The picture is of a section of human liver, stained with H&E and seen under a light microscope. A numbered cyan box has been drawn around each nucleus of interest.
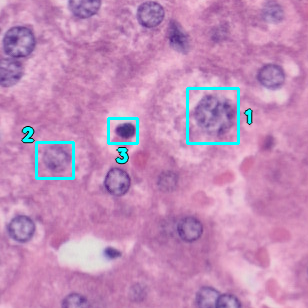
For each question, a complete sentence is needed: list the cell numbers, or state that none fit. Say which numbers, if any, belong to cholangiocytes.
Each numbered cell falls outside the category of cholangiocytes.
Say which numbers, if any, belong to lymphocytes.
Only nucleus 3 belongs to a lymphocyte; the other numbered nuclei do not.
